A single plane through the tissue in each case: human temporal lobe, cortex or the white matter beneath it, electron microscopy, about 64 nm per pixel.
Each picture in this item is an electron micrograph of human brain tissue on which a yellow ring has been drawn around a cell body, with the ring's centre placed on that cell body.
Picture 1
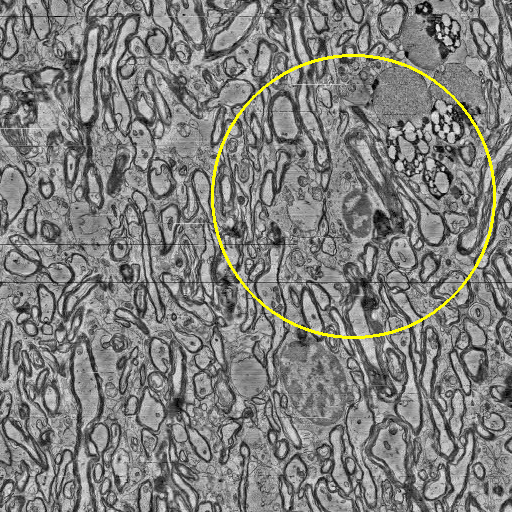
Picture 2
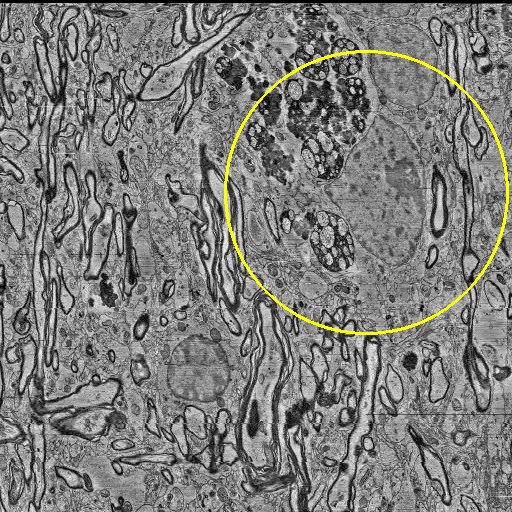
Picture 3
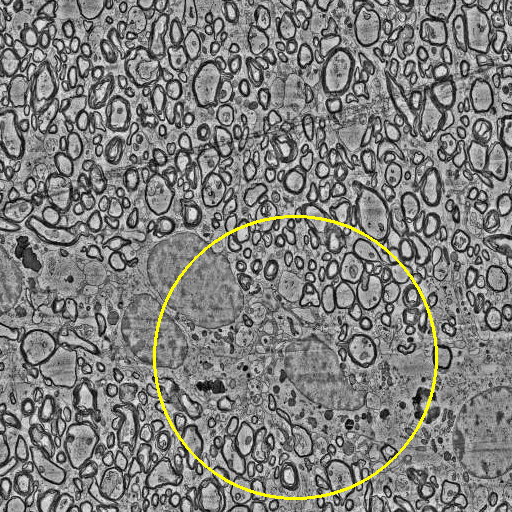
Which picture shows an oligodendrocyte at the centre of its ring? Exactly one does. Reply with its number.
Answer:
3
